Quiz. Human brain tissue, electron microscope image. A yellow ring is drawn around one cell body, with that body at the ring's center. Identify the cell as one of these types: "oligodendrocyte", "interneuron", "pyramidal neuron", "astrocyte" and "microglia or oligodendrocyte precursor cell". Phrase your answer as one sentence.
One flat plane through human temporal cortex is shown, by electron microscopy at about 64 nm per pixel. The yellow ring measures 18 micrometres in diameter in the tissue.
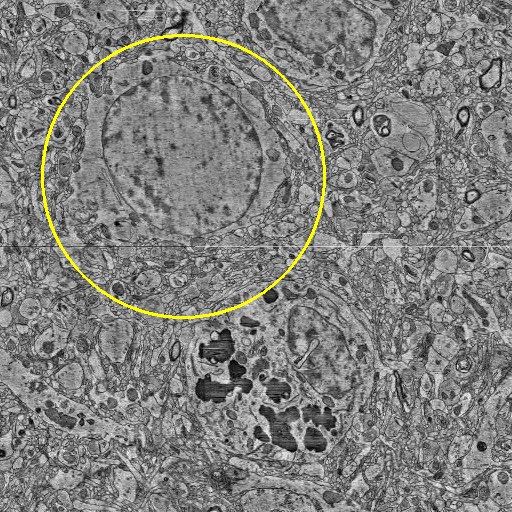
At the center of the ring sits an astrocyte.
